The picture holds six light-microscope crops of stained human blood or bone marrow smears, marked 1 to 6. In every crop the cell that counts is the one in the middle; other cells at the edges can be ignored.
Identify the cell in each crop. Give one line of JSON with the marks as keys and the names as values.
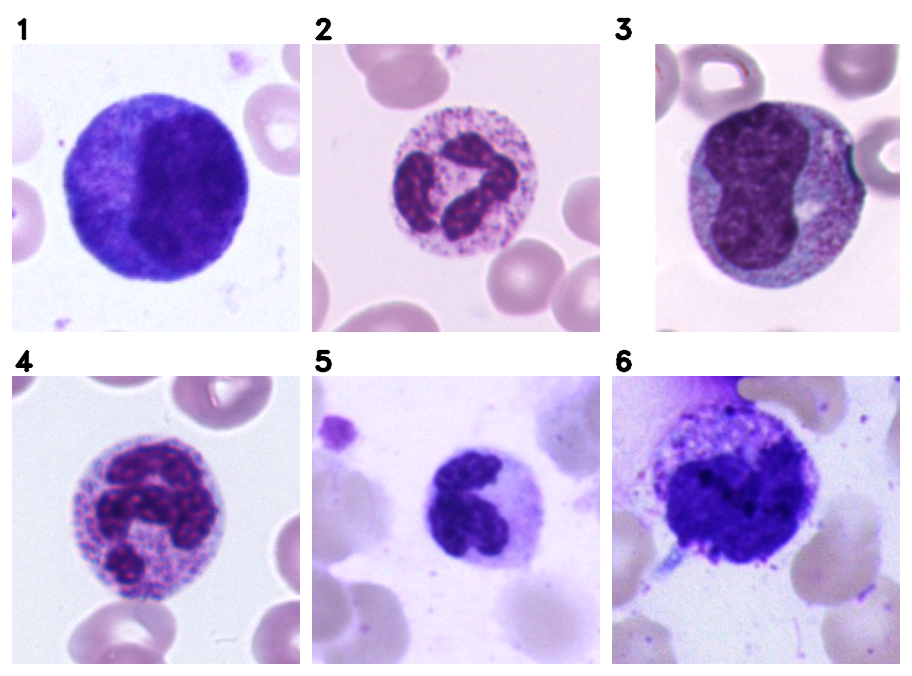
{"1": "promyelocyte", "2": "segmented neutrophil", "3": "promyelocyte", "4": "segmented neutrophil", "5": "segmented neutrophil", "6": "basophil"}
